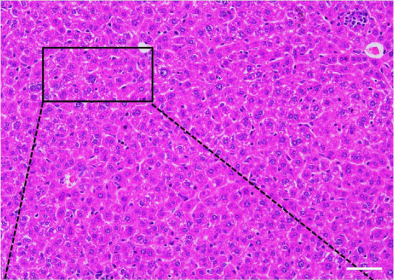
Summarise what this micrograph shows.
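The section shows liver tissue made up of hepatocytes arranged in closely packed cords. The hepatocytes are large and polygonal, with round, centrally placed purple nuclei and evenly pink cytoplasm. The spaces between the cords are narrow and inconspicuous. A small round vessel lumen is visible near the upper right.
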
